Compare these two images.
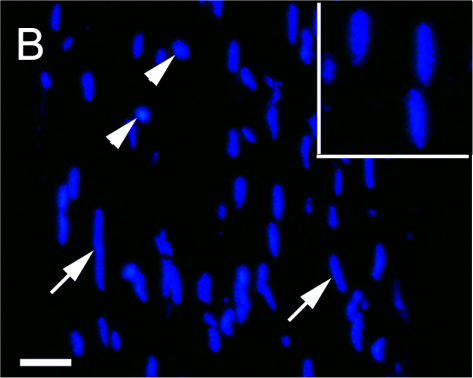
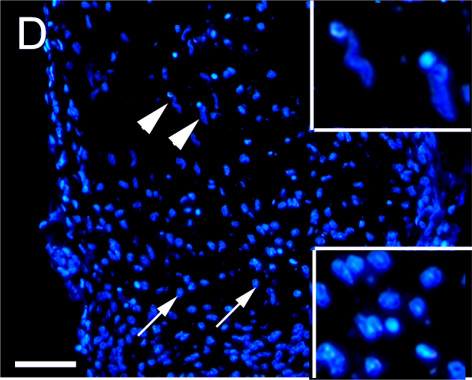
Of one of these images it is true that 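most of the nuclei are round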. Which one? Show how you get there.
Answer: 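Second image: densely packed, mostly small round blue nuclei. First image: sparse, mostly elongated oval blue nuclei aligned in one direction. That points to this answer: the second image.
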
